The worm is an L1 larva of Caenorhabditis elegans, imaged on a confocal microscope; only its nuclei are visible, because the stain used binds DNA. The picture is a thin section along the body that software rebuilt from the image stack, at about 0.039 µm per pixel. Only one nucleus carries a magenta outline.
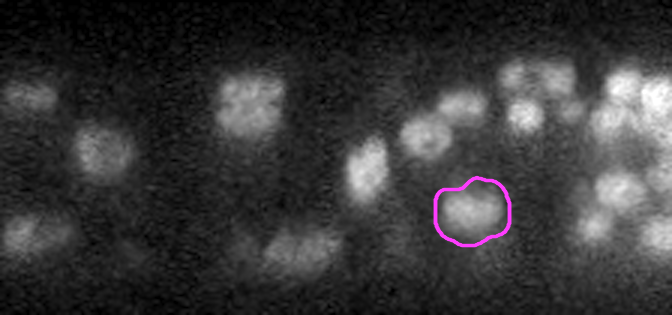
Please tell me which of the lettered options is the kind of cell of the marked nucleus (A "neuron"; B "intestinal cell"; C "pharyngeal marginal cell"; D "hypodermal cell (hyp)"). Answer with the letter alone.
C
